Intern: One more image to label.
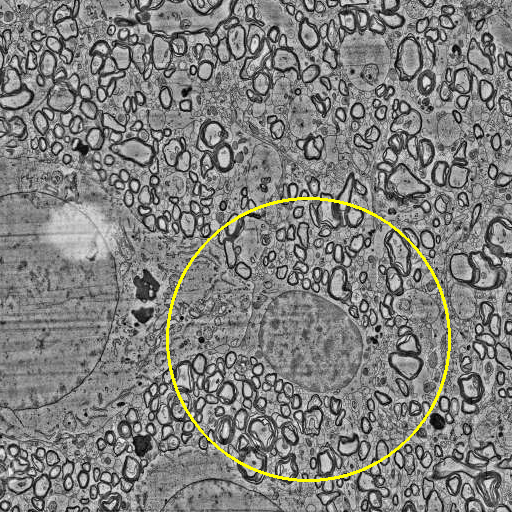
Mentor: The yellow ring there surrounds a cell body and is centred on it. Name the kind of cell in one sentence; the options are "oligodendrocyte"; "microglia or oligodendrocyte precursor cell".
The ring marks the cell body of an oligodendrocyte.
